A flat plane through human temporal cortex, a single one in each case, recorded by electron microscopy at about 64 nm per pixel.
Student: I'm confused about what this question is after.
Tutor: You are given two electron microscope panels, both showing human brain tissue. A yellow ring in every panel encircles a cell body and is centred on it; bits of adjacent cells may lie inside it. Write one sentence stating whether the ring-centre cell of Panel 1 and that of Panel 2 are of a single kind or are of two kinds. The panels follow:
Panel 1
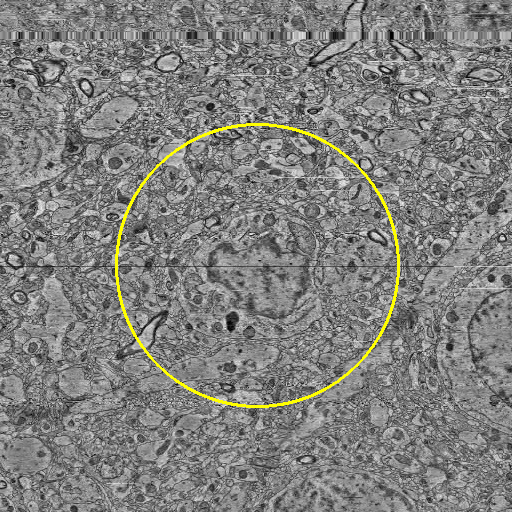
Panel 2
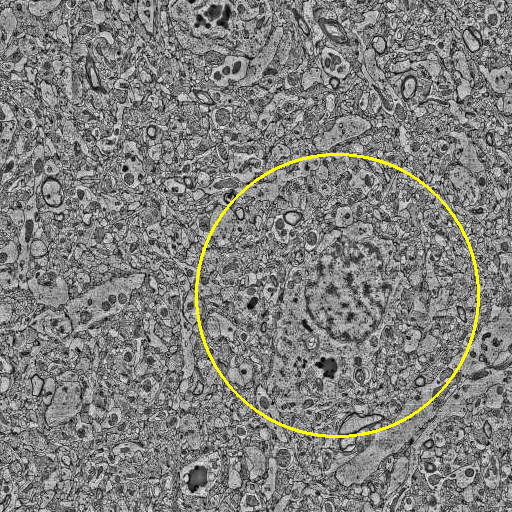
Here, the Panel 1 ring-centre cell and the Panel 2 ring-centre cell are of a single kind.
